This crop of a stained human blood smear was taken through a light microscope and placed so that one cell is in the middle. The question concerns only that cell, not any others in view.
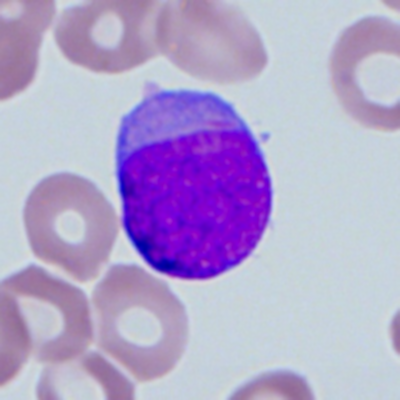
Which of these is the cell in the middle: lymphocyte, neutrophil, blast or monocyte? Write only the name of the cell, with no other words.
blast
